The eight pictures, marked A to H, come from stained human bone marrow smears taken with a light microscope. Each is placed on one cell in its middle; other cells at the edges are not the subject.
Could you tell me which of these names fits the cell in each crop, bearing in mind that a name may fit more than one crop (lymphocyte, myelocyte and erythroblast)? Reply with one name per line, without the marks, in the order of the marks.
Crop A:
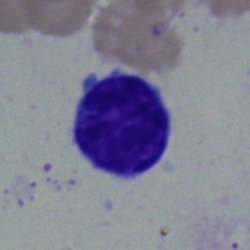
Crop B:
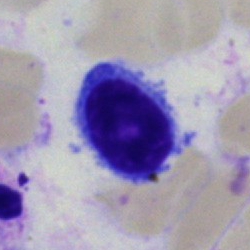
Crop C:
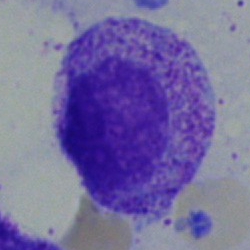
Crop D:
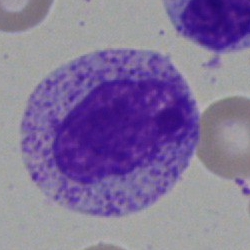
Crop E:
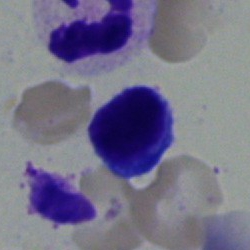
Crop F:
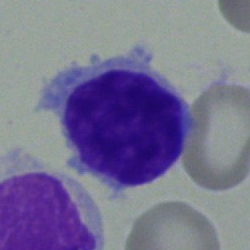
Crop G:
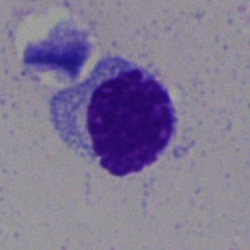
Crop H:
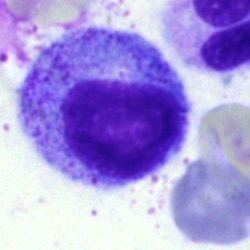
lymphocyte
lymphocyte
myelocyte
myelocyte
lymphocyte
lymphocyte
lymphocyte
myelocyte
